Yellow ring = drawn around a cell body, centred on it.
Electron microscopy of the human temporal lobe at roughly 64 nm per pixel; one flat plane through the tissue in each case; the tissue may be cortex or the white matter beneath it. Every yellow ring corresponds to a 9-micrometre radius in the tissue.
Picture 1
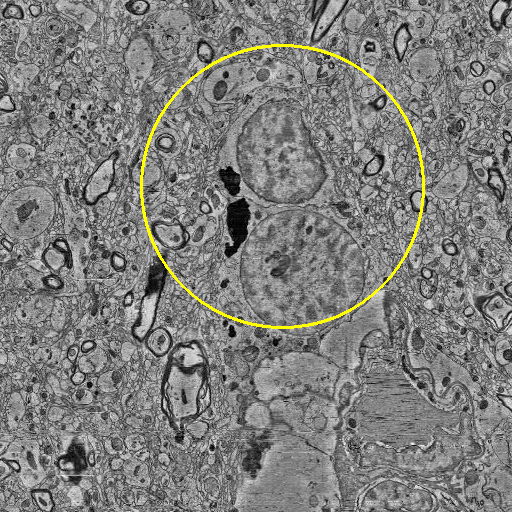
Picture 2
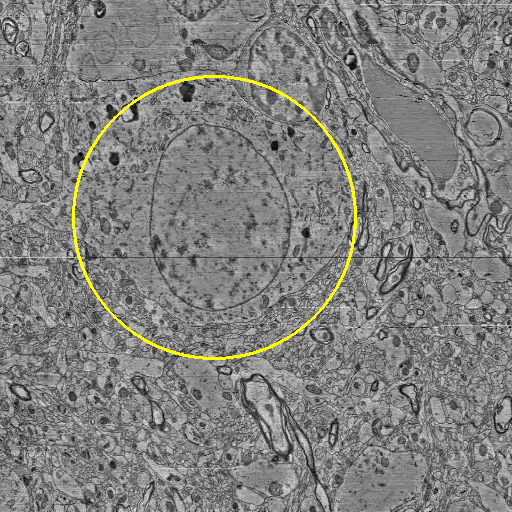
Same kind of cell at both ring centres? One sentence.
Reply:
No, they are two kinds of cell.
